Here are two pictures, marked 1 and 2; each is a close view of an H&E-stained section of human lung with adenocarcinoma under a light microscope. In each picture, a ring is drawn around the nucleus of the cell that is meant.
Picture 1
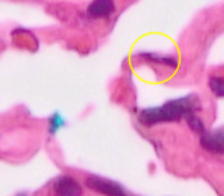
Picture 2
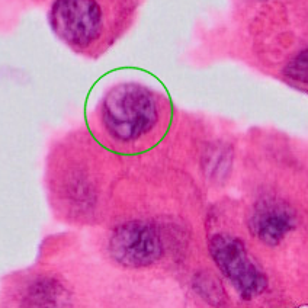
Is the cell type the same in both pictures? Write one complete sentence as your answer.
No, they differ: the cell is a type I pneumocyte in picture 1 and a carcinoma cell in picture 2.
